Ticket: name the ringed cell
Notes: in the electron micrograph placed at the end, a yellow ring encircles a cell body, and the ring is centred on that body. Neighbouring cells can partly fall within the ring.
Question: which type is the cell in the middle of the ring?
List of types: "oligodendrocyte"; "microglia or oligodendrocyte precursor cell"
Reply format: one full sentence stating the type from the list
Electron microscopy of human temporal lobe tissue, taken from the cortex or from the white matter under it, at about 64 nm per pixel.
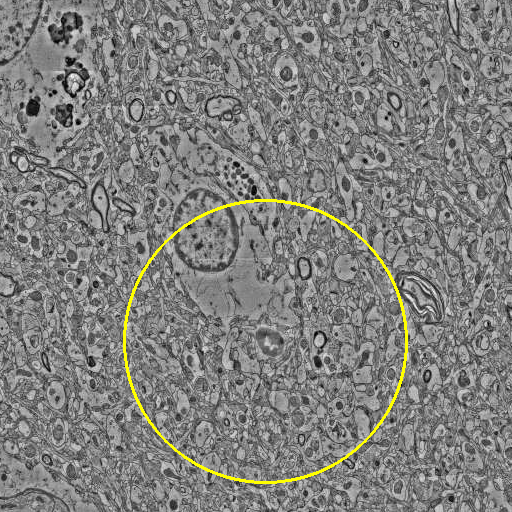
The cell sitting at the centre of the yellow ring is a microglial cell or oligodendrocyte precursor cell.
